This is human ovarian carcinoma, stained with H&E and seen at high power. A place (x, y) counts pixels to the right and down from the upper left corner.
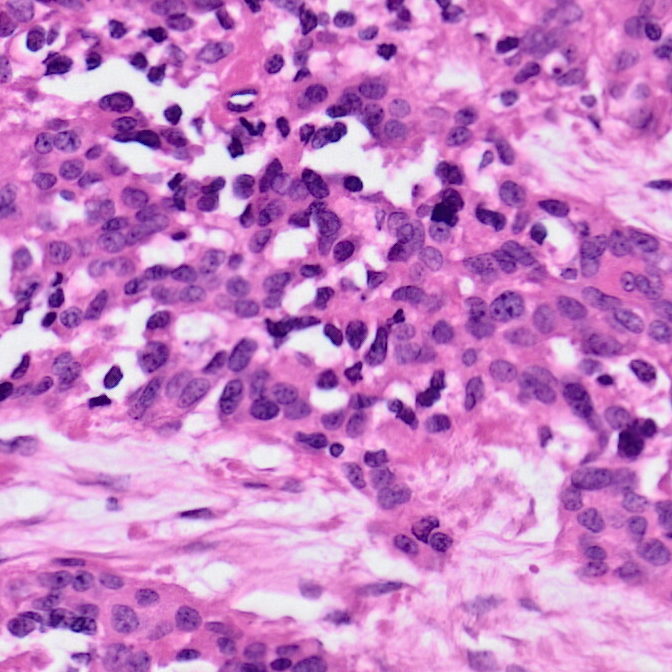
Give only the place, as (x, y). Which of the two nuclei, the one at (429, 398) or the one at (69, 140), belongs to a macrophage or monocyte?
(69, 140)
